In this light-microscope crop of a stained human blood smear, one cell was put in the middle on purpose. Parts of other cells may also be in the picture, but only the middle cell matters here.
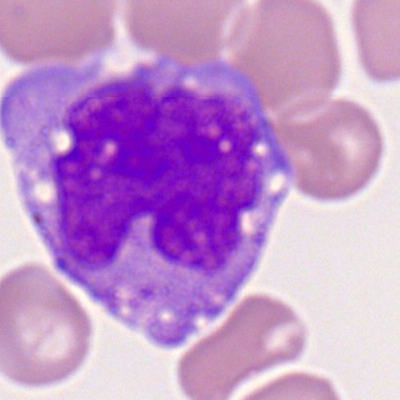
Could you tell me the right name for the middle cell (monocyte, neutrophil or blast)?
monocyte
